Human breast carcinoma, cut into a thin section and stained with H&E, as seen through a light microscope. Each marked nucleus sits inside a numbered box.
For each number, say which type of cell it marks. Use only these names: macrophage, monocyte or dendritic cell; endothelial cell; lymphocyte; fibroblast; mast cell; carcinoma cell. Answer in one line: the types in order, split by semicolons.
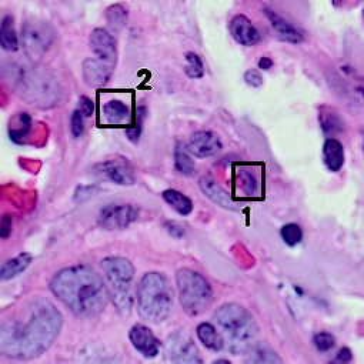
endothelial cell; lymphocyte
